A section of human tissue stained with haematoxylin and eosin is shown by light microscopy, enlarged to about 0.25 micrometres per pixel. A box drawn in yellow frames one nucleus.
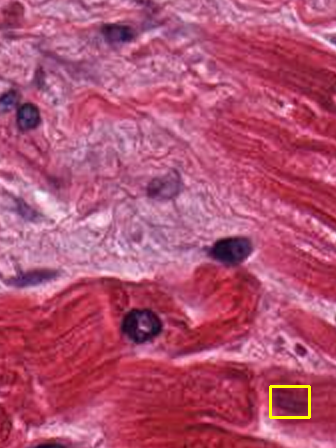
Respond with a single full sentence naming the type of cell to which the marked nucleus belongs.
The mark indicates the nucleus of a cardiomyocyte.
